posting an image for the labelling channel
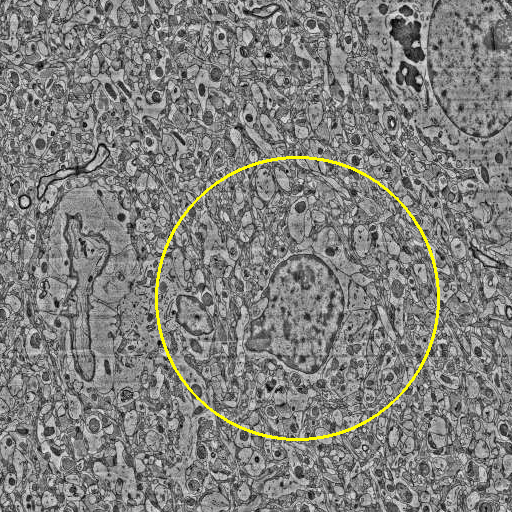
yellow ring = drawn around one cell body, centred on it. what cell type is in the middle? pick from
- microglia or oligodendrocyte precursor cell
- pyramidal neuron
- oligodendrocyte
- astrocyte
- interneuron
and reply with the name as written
microglia or oligodendrocyte precursor cell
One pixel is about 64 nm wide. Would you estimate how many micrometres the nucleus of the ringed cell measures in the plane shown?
Roughly 7 micrometres by 5 micrometres, in this plane.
